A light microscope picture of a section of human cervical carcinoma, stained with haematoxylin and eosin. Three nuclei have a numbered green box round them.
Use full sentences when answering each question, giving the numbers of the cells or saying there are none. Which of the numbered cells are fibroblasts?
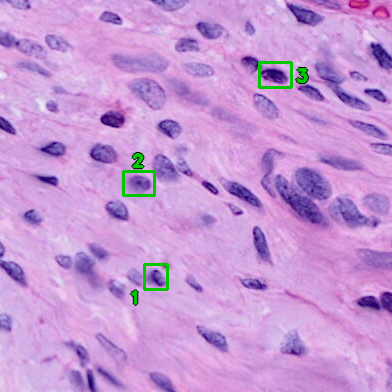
In terms of cell type, cells 1 and 2 are fibroblasts.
